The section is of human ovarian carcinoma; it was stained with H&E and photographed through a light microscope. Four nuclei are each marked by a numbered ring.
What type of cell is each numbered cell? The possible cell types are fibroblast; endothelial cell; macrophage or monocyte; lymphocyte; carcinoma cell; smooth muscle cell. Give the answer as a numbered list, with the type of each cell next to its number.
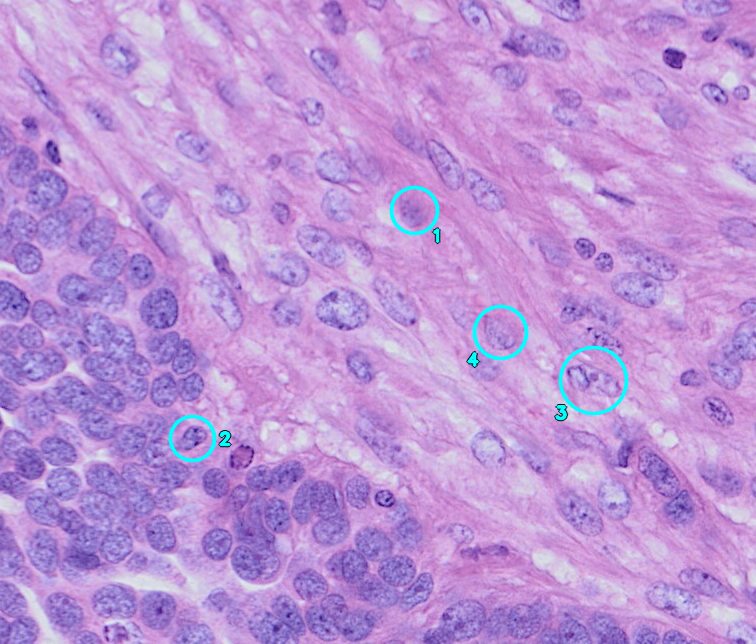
1. fibroblast
2. macrophage or monocyte
3. fibroblast
4. fibroblast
